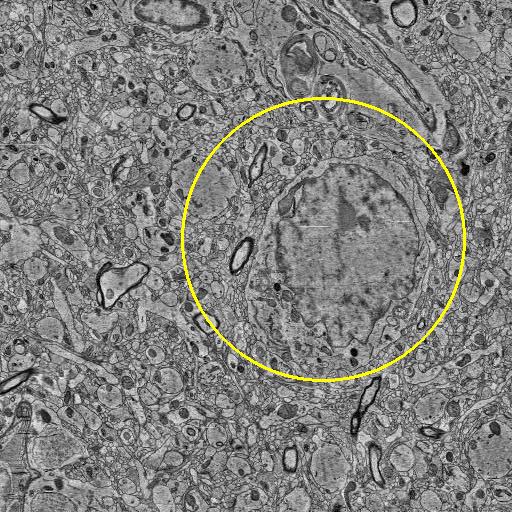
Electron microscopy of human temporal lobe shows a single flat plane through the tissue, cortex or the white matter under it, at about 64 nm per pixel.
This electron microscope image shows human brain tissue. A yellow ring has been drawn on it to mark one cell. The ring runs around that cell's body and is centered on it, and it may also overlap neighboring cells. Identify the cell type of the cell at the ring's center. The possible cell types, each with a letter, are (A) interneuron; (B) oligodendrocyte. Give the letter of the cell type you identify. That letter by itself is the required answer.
A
